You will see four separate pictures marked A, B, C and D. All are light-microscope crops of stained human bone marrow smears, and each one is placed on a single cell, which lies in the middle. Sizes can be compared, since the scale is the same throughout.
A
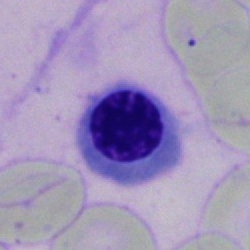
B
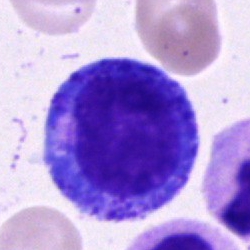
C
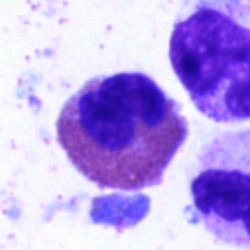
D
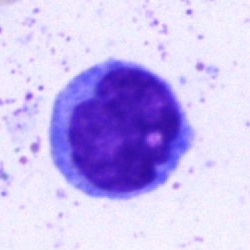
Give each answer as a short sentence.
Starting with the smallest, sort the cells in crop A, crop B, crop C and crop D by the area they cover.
Going up, they run A, C, D, B.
